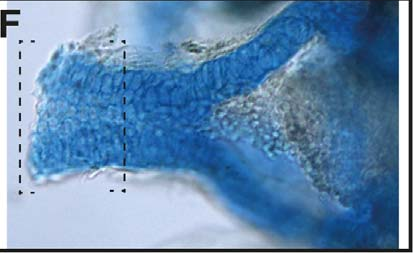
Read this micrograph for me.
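Head cartilage with blue-stained chondrocytes forming an anterior plate that merges into two short, diverging bars. The plate is small and its cells are densely packed and irregularly arranged. The bars are broad and short, with chondrocytes less regularly stacked than in orderly rod cartilage. Overall the cartilage appears reduced in size.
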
